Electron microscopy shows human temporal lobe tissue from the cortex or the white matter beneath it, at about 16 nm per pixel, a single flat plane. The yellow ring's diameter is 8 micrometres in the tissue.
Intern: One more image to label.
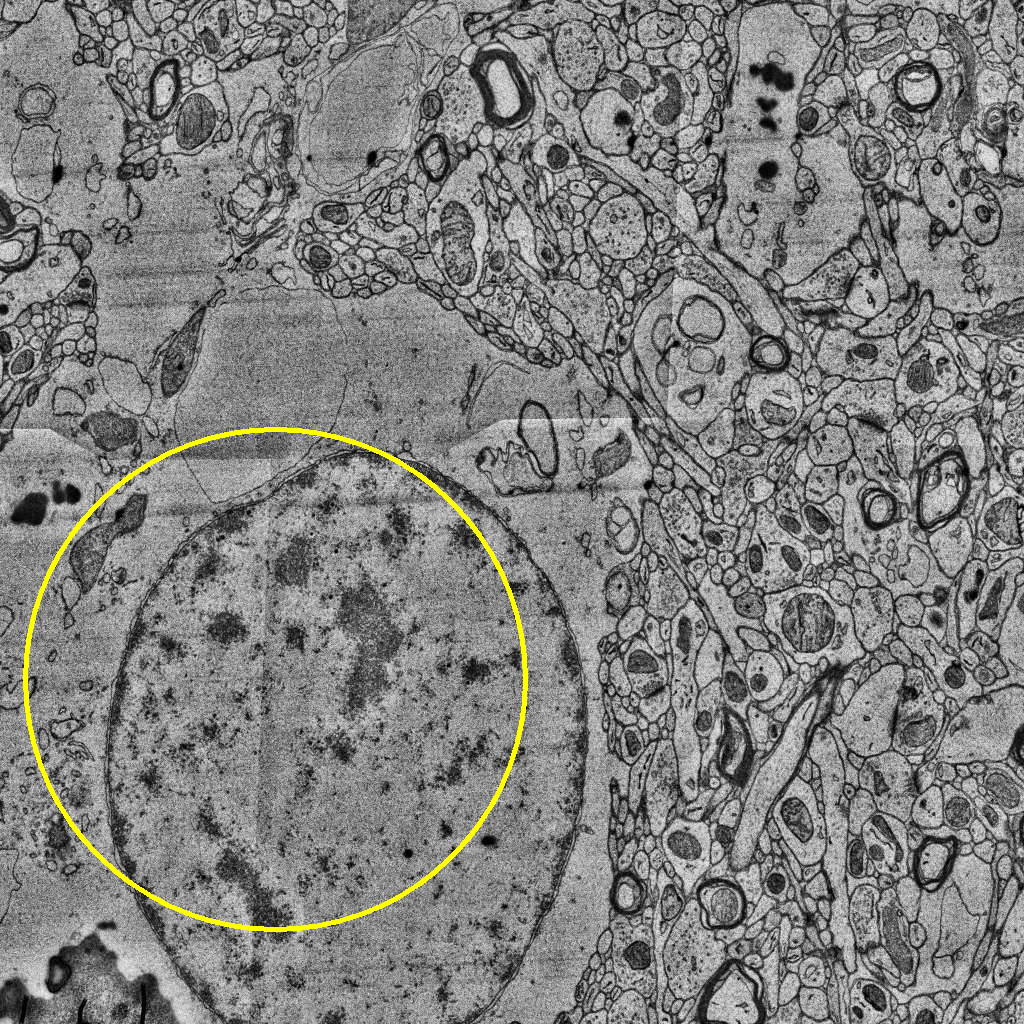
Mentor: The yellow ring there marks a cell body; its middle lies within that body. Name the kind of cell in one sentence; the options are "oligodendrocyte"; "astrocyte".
The ring marks the cell body of an astrocyte.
